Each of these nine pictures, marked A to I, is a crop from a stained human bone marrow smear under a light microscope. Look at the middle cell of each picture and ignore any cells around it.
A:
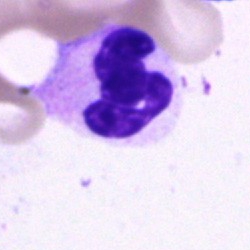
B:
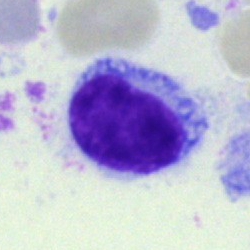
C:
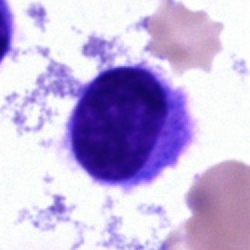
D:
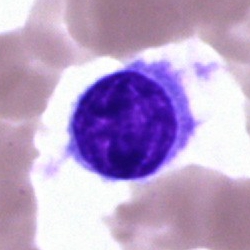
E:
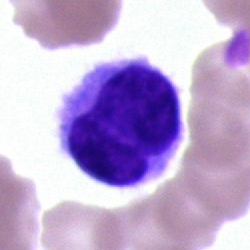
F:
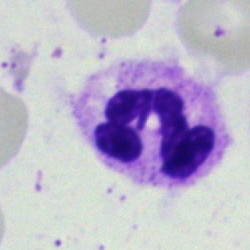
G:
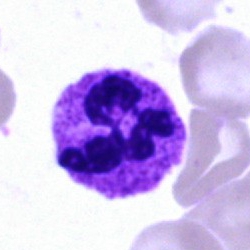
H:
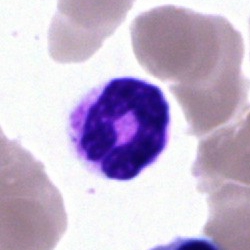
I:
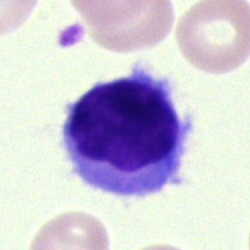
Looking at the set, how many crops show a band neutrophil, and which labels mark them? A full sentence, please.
Nowhere among the crops are there band neutrophils, so the count is zero.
